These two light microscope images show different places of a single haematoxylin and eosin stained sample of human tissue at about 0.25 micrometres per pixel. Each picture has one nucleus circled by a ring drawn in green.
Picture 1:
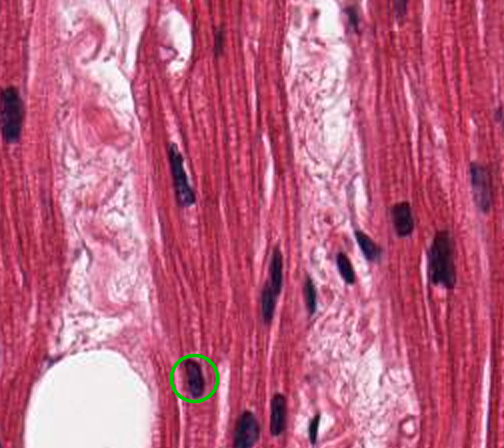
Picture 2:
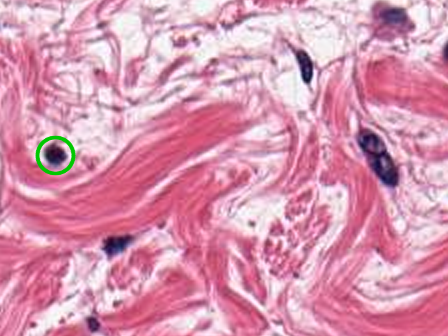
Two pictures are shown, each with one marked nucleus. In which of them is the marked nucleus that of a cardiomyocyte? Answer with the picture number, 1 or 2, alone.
1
